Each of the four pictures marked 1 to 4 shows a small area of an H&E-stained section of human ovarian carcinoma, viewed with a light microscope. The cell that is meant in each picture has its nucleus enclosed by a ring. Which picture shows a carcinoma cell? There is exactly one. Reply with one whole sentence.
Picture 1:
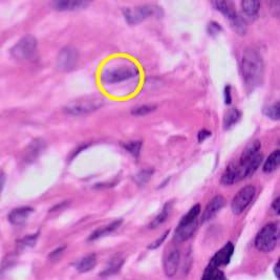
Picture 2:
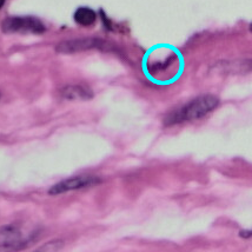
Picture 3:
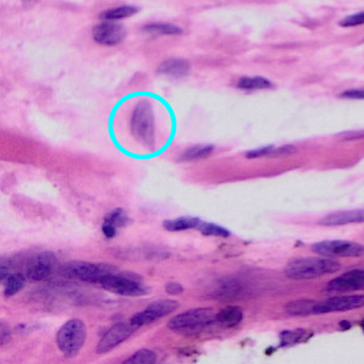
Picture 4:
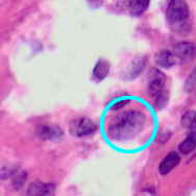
The picture with the carcinoma cell is 4.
